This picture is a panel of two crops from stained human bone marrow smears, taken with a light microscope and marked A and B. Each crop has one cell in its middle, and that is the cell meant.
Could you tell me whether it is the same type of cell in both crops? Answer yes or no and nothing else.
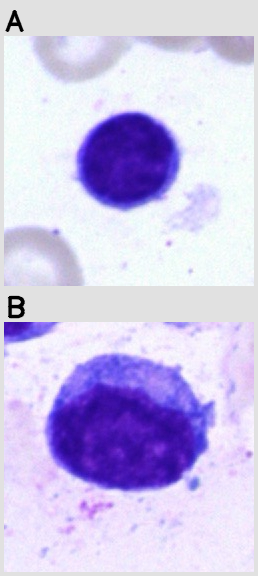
no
